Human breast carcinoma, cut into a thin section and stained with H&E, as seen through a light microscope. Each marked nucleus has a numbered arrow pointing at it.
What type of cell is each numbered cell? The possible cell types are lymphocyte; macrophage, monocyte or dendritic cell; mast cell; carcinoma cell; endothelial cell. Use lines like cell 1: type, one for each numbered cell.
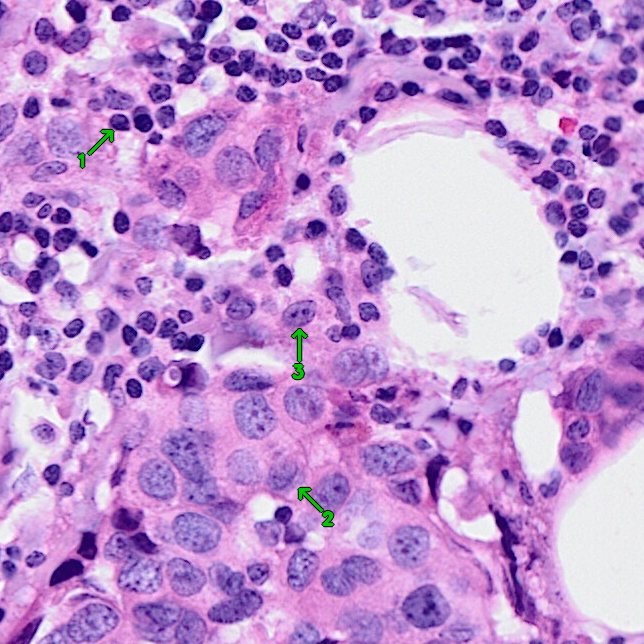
cell 1: lymphocyte
cell 2: carcinoma cell
cell 3: macrophage, monocyte or dendritic cell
